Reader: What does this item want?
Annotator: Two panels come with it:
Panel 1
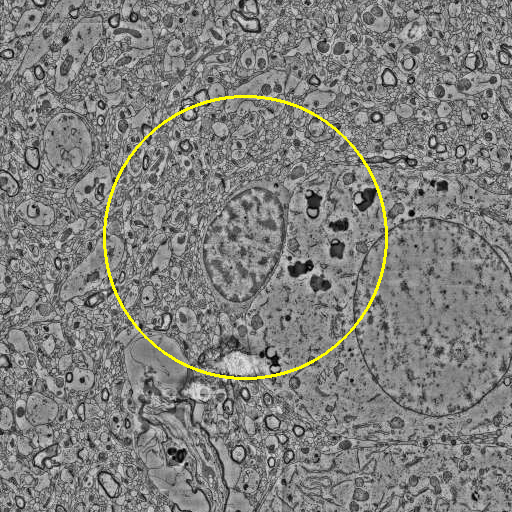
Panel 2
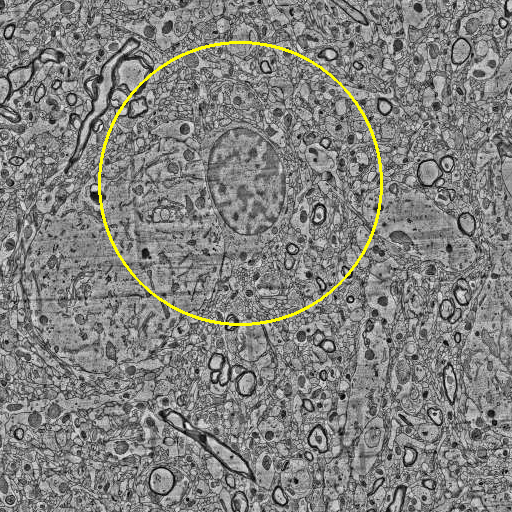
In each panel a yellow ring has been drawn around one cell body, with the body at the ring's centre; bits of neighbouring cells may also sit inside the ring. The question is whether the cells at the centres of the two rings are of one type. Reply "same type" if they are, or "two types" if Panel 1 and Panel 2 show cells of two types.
same type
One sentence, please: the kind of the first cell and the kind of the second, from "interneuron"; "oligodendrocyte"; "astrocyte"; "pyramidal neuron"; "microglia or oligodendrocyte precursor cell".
Each of the two rings is centred on an oligodendrocyte.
